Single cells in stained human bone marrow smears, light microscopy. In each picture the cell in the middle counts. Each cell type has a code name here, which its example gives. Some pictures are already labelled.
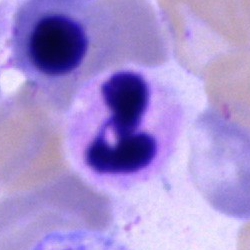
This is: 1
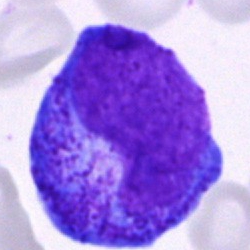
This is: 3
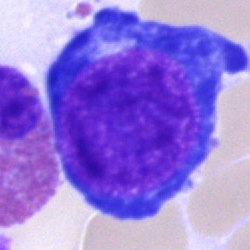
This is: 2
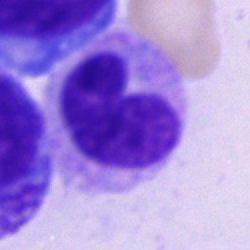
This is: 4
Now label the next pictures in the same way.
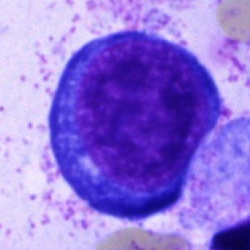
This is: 2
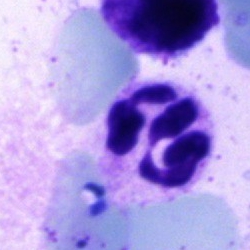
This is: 1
